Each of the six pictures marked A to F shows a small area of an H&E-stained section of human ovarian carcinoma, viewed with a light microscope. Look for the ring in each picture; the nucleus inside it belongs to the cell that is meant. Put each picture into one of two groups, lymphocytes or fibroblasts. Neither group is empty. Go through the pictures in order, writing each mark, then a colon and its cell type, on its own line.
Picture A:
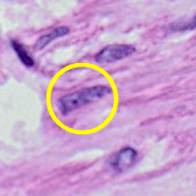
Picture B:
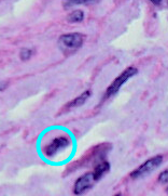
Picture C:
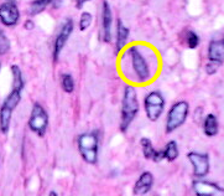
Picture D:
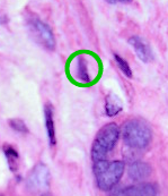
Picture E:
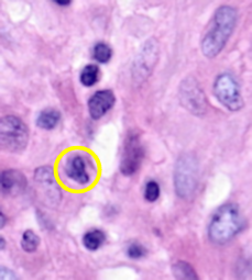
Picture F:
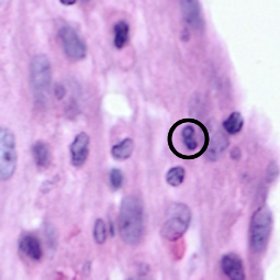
A: fibroblast
B: fibroblast
C: fibroblast
D: fibroblast
E: lymphocyte
F: lymphocyte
